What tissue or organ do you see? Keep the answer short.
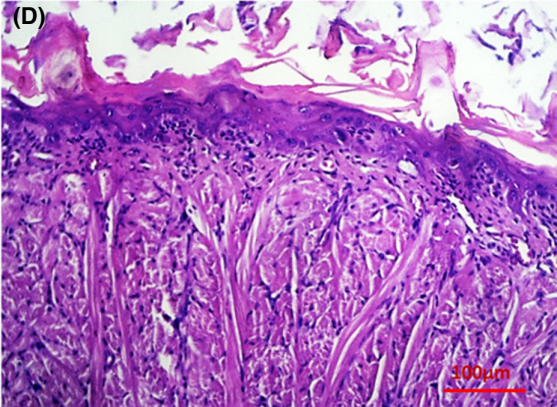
tongue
